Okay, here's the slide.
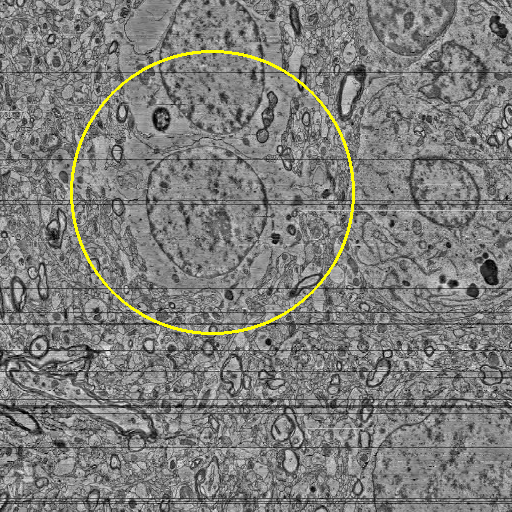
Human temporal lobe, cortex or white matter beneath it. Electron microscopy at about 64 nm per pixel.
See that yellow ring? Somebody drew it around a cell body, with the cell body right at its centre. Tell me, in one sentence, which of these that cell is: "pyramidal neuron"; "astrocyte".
The cell in the middle of the ring is an astrocyte.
